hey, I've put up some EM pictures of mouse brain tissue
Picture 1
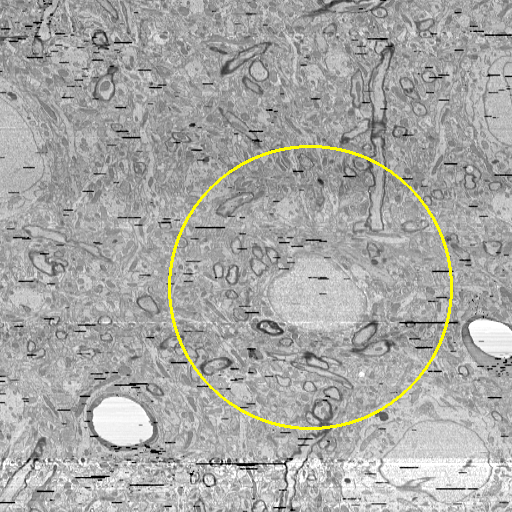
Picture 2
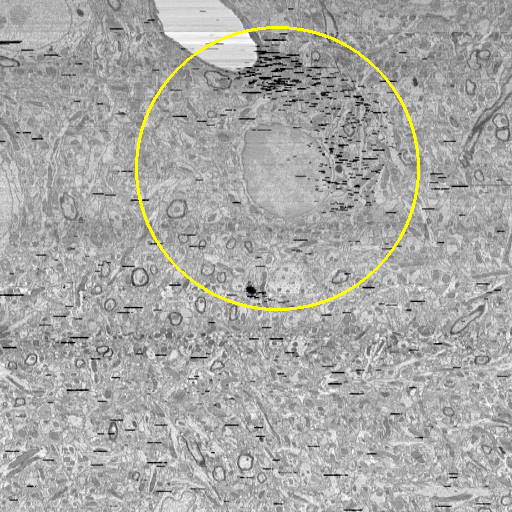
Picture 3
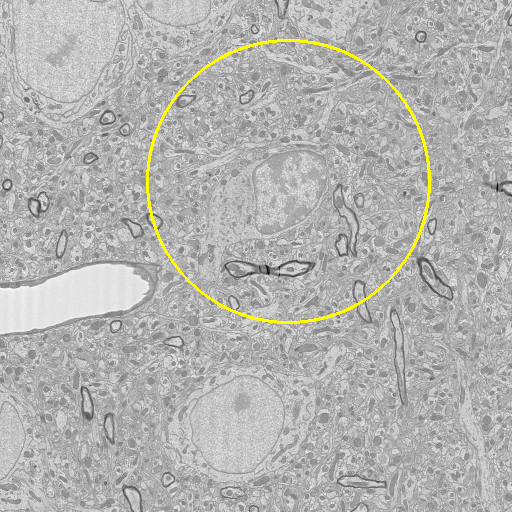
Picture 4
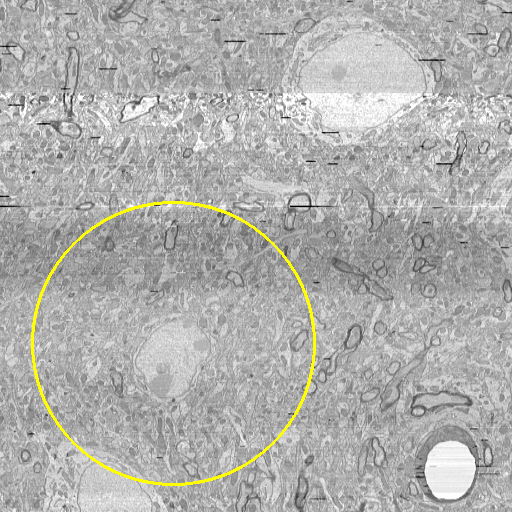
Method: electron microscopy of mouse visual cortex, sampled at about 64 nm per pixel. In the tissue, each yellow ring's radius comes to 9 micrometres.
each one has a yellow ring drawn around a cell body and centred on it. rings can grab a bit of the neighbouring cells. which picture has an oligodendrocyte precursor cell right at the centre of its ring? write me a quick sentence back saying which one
It's Picture 4.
